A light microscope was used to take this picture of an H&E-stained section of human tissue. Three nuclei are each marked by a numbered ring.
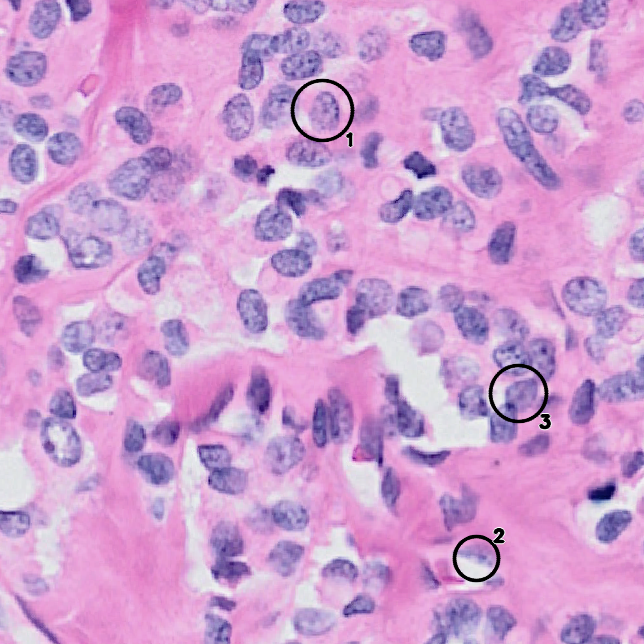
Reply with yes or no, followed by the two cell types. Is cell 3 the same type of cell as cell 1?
Yes, both are carcinoma cells.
